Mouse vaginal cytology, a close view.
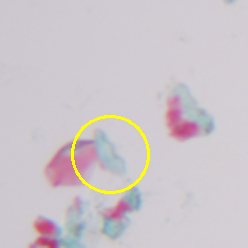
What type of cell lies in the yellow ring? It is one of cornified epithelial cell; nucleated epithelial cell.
The ringed cell is a cornified epithelial cell.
